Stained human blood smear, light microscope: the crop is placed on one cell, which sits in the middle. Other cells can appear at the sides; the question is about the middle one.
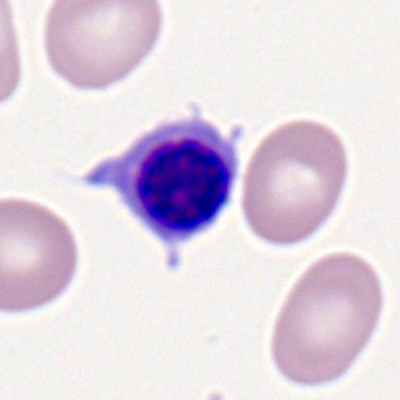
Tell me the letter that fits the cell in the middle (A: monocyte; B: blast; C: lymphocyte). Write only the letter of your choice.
C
